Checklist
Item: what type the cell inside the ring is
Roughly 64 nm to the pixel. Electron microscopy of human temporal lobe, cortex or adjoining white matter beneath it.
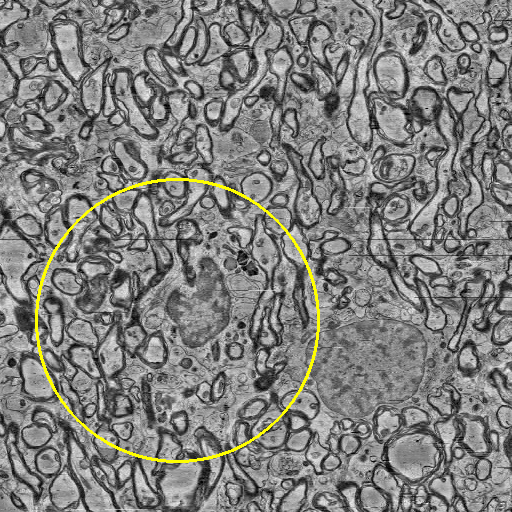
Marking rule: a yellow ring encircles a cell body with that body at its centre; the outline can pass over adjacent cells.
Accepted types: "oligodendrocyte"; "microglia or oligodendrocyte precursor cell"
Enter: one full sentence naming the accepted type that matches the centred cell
The entry is that a microglial cell or oligodendrocyte precursor cell lies at the centre of the yellow ring.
